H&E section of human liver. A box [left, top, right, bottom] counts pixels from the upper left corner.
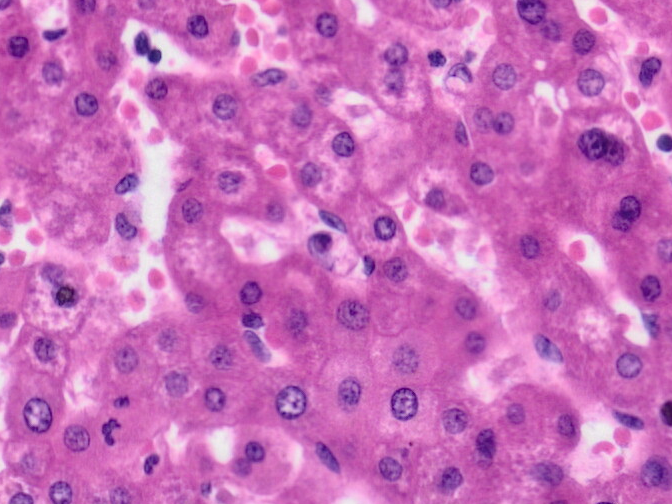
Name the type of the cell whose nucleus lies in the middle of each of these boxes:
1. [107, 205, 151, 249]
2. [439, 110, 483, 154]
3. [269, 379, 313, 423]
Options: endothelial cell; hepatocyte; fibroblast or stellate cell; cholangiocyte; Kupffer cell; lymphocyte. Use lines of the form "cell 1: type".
cell 1: Kupffer cell
cell 2: fibroblast or stellate cell
cell 3: hepatocyte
